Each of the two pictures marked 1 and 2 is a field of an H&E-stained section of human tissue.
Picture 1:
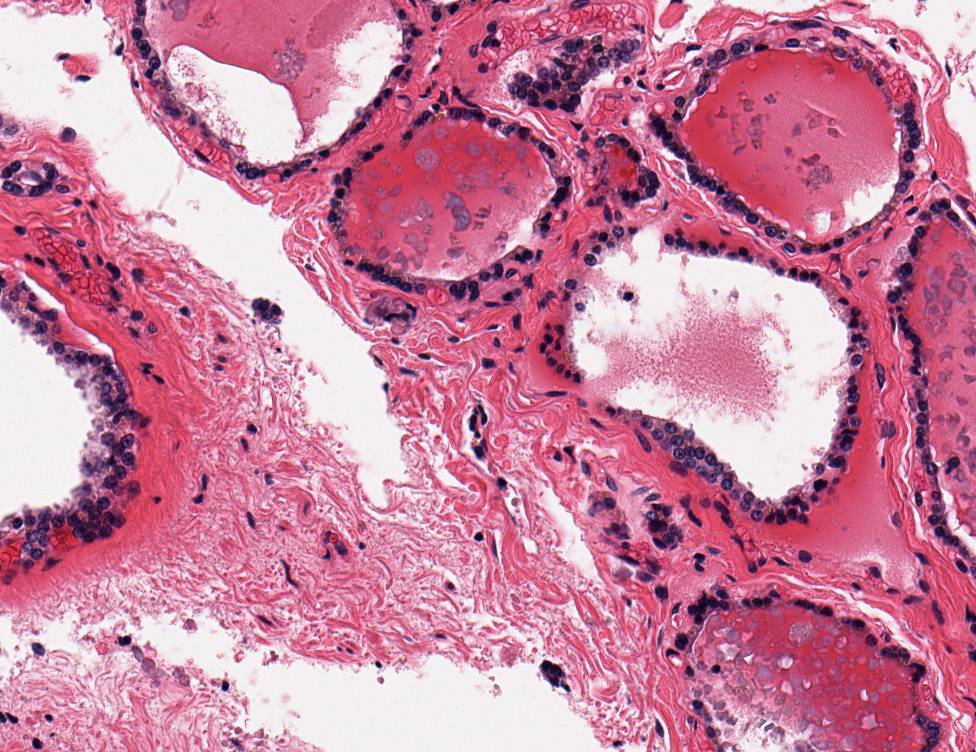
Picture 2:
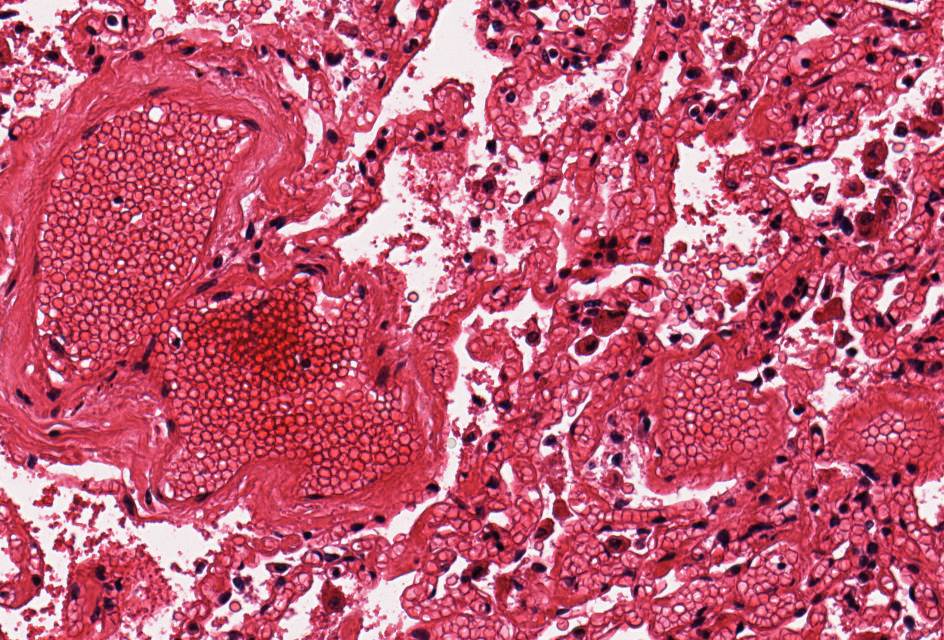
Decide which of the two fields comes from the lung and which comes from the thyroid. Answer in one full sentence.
Picture 1 comes from the thyroid and picture 2 comes from the lung.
